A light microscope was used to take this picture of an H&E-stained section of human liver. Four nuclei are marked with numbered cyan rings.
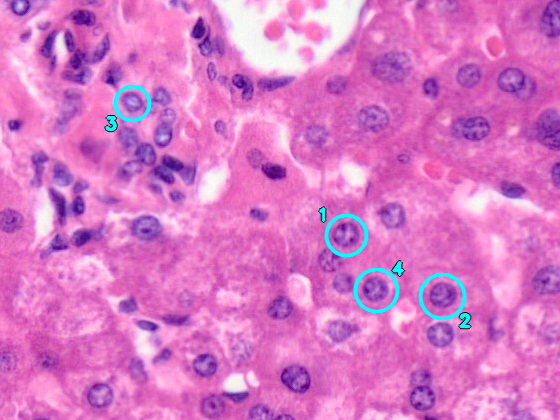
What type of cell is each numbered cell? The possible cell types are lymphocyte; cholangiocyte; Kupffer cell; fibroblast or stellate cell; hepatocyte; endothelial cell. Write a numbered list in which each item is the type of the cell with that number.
1. hepatocyte
2. hepatocyte
3. cholangiocyte
4. hepatocyte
